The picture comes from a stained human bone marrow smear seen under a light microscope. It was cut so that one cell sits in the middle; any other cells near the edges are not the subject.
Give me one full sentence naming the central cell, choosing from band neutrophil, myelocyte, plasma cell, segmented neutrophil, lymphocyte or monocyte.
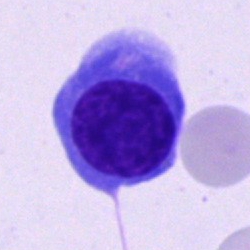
The centered cell in this crop is a plasma cell.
